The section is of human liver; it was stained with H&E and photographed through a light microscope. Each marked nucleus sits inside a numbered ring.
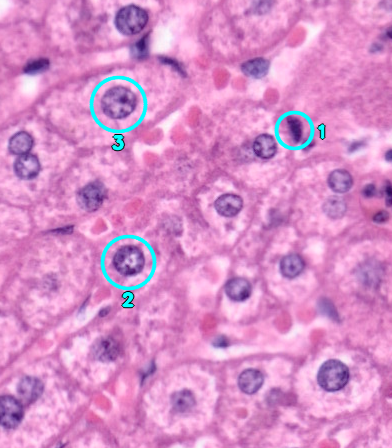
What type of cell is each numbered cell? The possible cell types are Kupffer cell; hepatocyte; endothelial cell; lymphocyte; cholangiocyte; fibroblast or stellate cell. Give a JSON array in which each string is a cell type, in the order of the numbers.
["fibroblast or stellate cell", "hepatocyte", "hepatocyte"]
